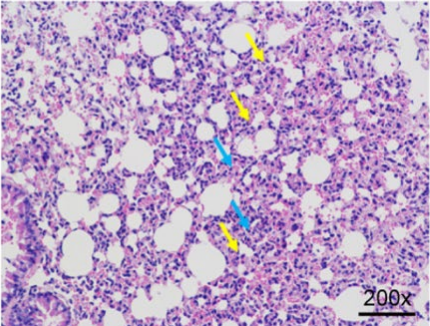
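Lung tissue in which the alveolar walls are markedly thickened and densely packed with cells bearing small round dark purple nuclei in pink-stained tissue. The air spaces are reduced to scattered rounded clear holes of varying size within the cell-rich tissue, and a bronchiolar epithelium is seen at the lower left edge.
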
